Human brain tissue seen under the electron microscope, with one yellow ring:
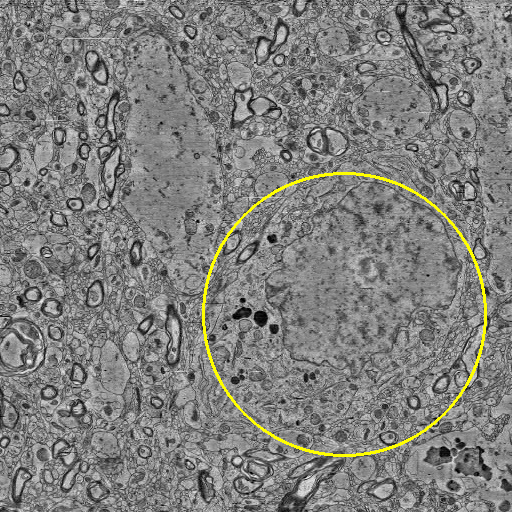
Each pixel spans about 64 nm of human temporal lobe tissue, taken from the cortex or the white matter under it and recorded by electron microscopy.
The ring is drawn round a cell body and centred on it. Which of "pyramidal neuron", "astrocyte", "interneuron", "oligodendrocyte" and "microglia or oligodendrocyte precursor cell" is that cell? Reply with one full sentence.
The picture shows an interneuron at the very centre of the yellow ring.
